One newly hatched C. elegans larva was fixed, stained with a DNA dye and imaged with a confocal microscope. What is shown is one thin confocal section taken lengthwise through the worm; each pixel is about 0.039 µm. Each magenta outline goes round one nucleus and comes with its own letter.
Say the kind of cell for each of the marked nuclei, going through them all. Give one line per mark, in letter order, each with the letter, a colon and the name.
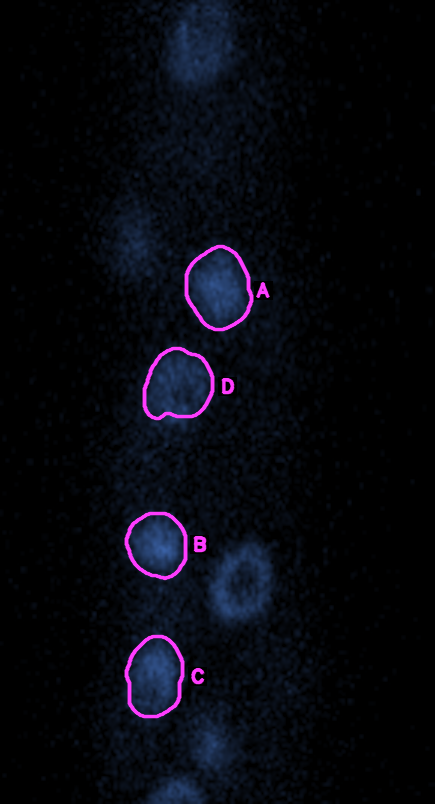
A: Q neuroblast
B: neuron
C: P cell (ventral epidermal blast cell)
D: seam cell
